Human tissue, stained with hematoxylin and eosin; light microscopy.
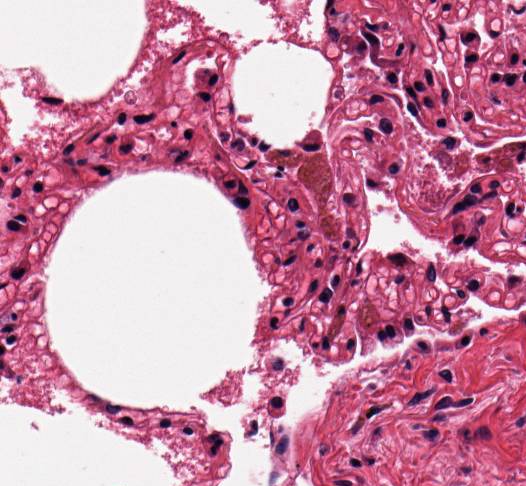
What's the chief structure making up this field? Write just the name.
alveolus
